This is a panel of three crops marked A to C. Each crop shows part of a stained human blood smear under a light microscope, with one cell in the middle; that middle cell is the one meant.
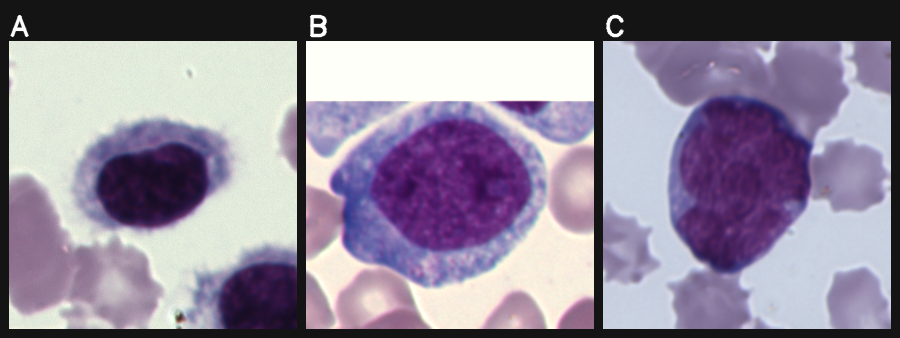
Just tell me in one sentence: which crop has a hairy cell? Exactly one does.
The crop showing a hairy cell in this series is crop A.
